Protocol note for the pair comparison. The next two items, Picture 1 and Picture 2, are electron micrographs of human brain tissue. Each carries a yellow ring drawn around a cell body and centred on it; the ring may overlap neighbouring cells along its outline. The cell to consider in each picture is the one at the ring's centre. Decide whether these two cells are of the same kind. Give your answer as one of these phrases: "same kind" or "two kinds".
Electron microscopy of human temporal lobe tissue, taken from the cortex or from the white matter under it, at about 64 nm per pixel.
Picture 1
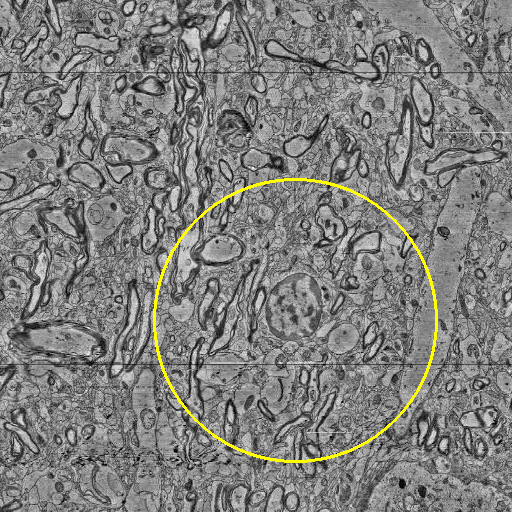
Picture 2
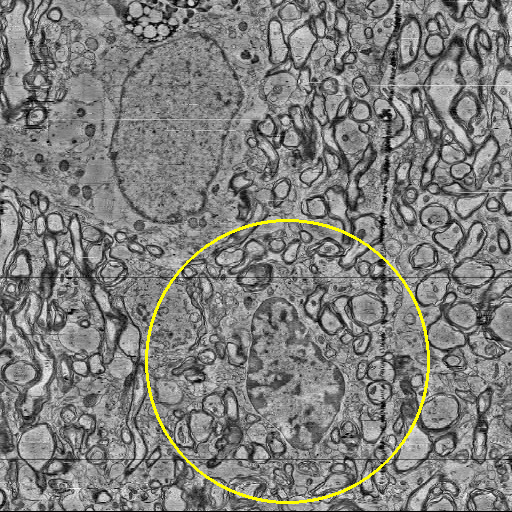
same kind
